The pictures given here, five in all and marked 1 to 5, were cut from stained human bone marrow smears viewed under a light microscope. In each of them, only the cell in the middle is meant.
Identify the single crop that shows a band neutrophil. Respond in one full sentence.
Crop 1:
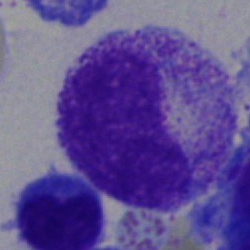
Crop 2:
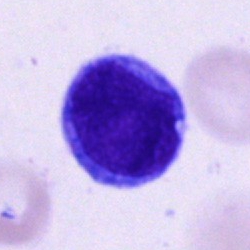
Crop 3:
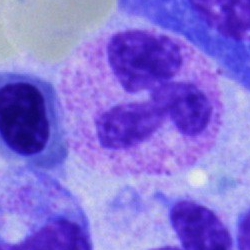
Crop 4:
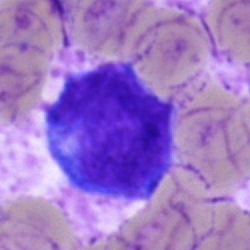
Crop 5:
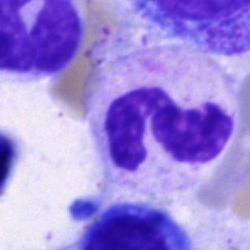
The one crop that shows a band neutrophil is crop 5.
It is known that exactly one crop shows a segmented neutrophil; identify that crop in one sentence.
Crop 3 is the crop in which a segmented neutrophil is shown.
